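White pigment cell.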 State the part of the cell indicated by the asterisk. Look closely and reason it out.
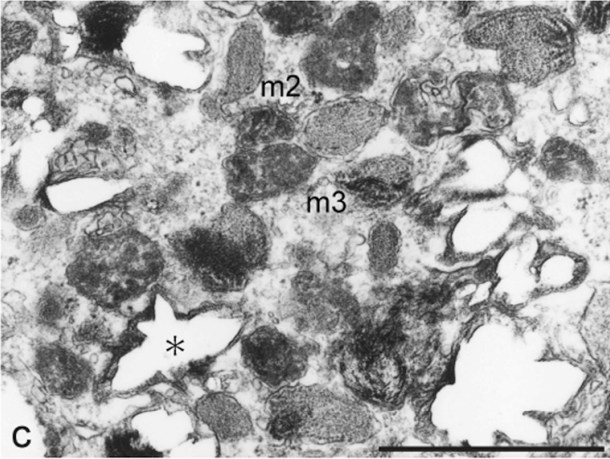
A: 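Reflecting platelets. The asterisk lies in an electron-lucent, empty-looking space with angular, irregular outlines. Several similar clear, jagged spaces are scattered among darker granular organelles.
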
